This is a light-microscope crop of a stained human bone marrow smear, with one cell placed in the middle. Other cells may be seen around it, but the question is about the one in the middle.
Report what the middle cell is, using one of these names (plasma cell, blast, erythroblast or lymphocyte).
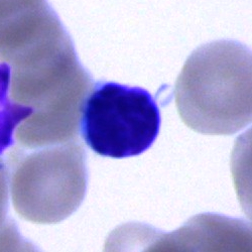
lymphocyte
